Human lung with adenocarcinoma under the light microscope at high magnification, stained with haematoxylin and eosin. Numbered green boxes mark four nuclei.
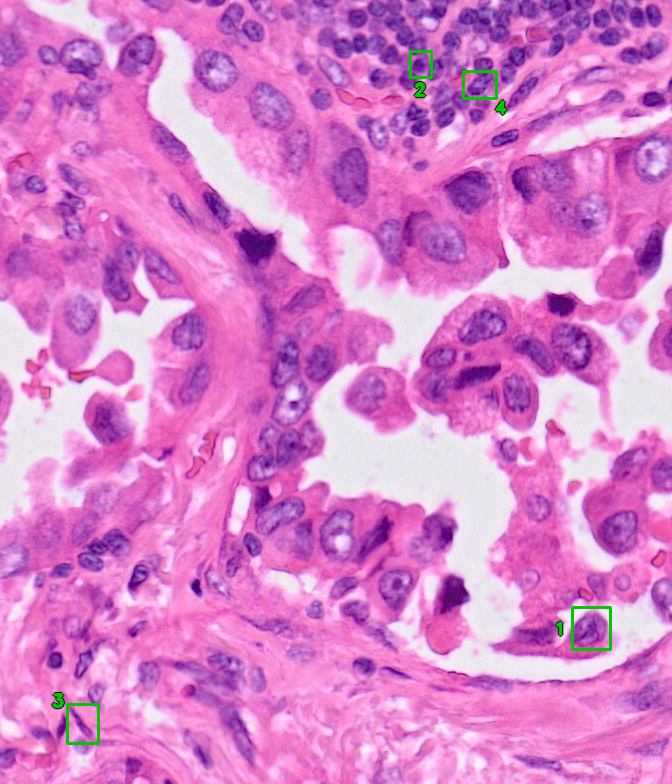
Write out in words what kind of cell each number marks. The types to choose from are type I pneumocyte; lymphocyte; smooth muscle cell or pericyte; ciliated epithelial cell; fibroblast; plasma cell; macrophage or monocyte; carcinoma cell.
Cell 1 is a carcinoma cell. Cells 2 and 4 are lymphocytes. Cell 3 is a fibroblast.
